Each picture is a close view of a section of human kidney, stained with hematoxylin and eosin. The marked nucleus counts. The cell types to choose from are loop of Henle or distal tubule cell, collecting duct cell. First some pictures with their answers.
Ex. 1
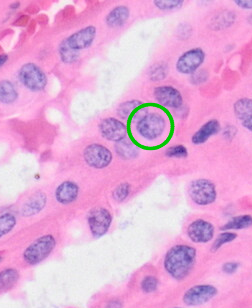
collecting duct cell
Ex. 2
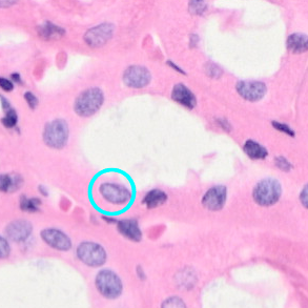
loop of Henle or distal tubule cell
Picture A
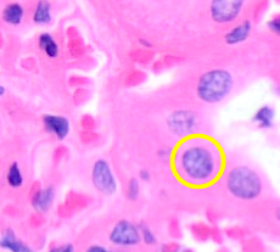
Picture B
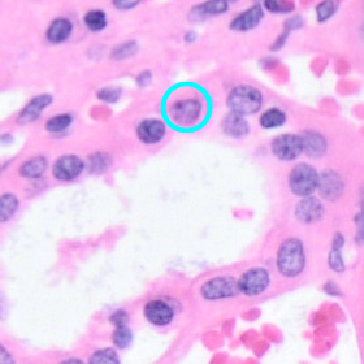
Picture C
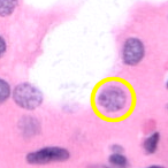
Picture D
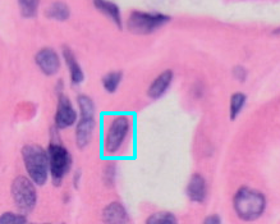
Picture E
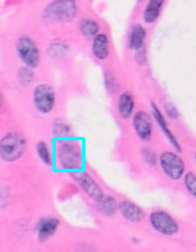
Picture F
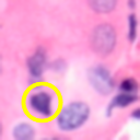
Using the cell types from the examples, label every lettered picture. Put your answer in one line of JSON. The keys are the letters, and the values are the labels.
{"A": "loop of Henle or distal tubule cell", "B": "collecting duct cell", "C": "loop of Henle or distal tubule cell", "D": "loop of Henle or distal tubule cell", "E": "collecting duct cell", "F": "collecting duct cell"}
